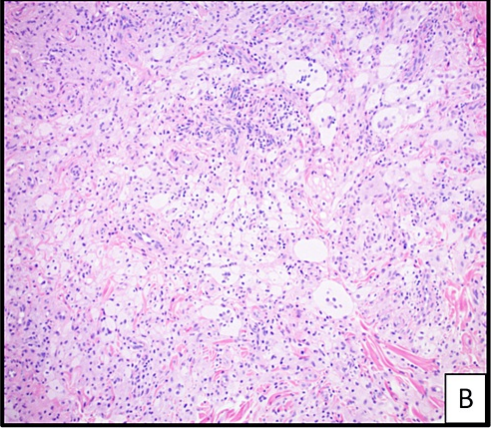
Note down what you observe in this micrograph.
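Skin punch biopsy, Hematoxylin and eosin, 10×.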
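The dermis here is replaced by a dense sheet of cells, many of them large with pale, bubbly cytoplasm. Small dark round nuclei of interspersed smaller cells are scattered throughout, and pink collagen strands run between the cells.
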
